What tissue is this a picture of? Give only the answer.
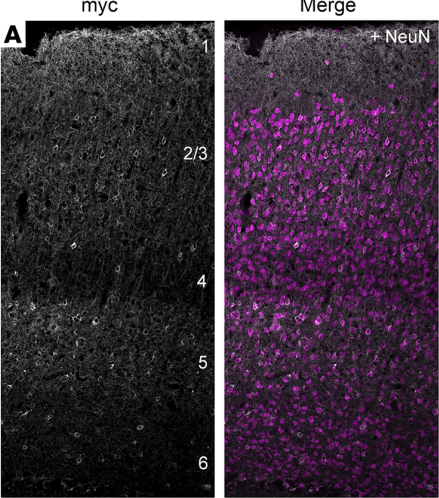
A: Cortex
